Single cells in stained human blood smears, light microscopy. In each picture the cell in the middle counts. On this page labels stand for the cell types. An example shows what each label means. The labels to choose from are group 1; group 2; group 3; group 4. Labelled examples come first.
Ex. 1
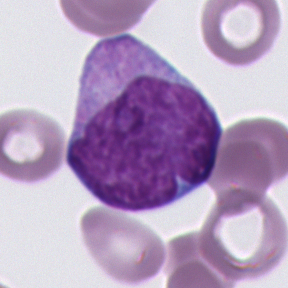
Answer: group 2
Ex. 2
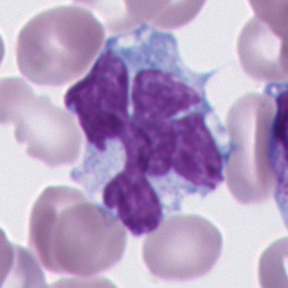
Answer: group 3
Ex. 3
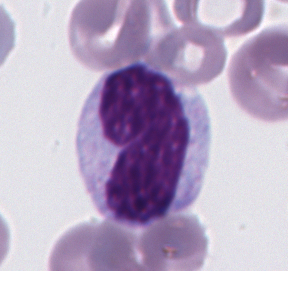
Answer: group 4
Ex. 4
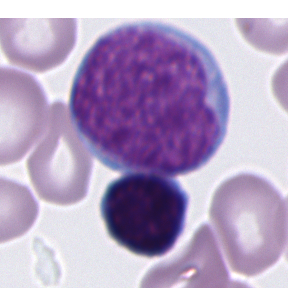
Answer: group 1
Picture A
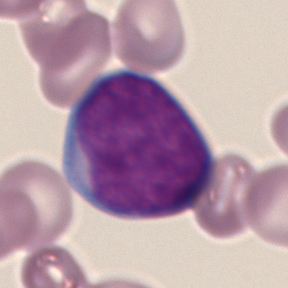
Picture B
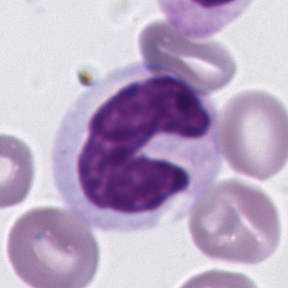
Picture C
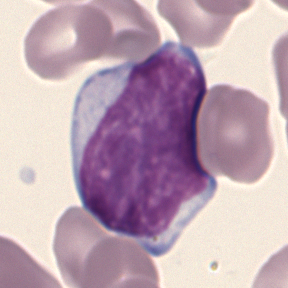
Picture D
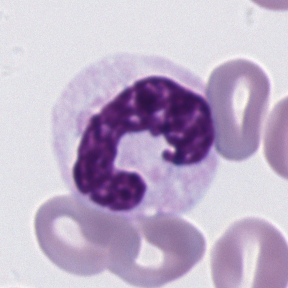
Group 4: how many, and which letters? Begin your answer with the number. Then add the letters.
2: B, D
